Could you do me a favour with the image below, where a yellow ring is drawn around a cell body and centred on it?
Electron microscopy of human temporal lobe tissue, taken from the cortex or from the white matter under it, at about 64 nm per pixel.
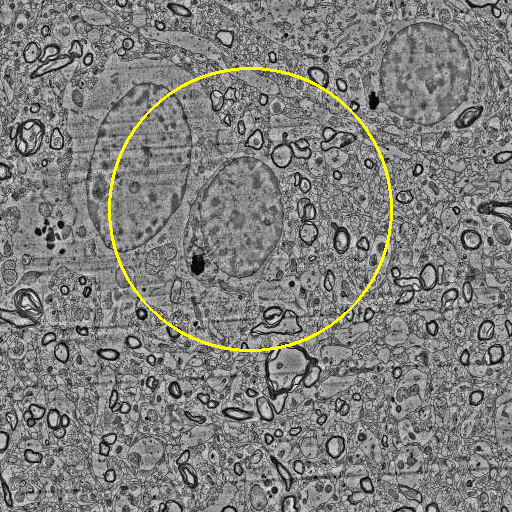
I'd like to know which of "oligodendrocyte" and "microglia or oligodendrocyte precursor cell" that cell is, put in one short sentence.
The cell at the ring's centre is an oligodendrocyte.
